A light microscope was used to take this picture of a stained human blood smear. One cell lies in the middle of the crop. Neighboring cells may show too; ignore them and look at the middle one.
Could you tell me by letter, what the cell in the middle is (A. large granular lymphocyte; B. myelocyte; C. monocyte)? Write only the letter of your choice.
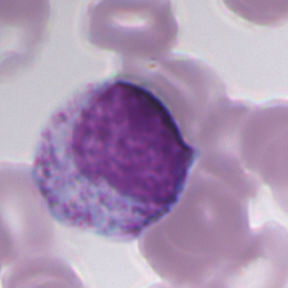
B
